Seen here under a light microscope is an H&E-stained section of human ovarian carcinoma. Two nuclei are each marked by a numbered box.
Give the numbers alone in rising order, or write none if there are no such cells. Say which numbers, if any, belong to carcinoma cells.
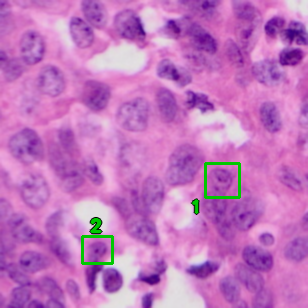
1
